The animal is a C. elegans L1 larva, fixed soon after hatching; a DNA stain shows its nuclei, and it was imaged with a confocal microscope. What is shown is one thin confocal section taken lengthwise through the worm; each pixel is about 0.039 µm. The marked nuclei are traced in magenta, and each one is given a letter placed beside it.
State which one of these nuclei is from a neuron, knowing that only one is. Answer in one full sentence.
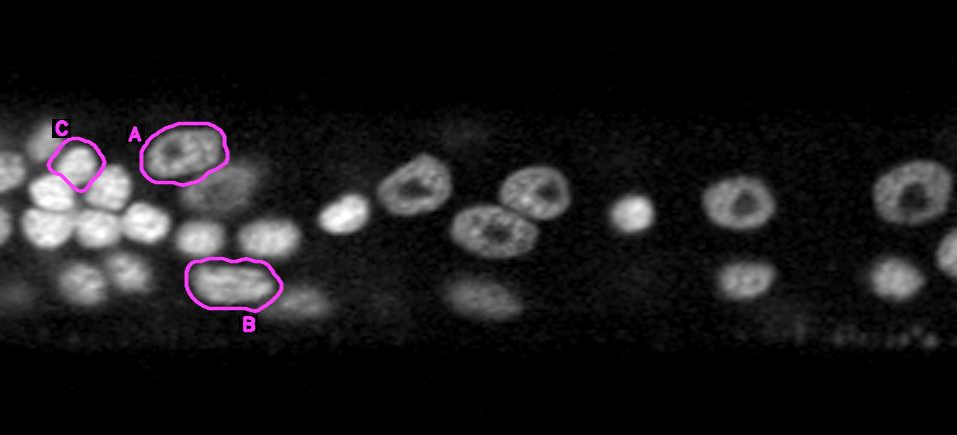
C is the one that belongs to a neuron.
